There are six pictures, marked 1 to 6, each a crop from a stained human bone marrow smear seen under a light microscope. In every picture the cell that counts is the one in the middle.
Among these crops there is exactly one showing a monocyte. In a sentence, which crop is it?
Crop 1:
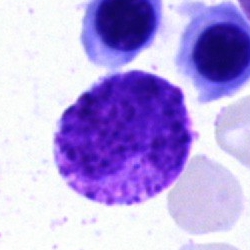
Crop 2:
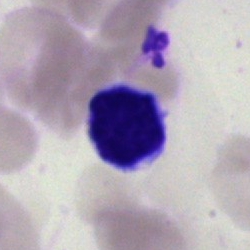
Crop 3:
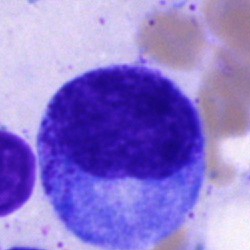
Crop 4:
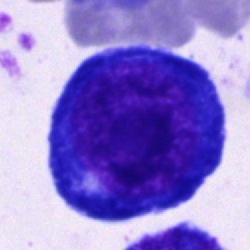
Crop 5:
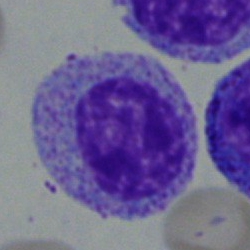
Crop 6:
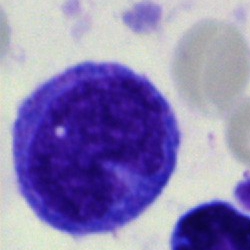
Crop 6 is where a monocyte is shown.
